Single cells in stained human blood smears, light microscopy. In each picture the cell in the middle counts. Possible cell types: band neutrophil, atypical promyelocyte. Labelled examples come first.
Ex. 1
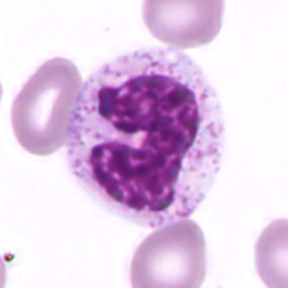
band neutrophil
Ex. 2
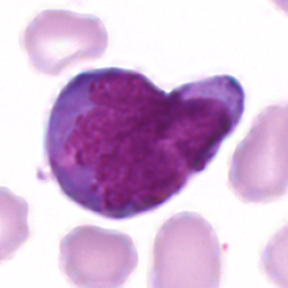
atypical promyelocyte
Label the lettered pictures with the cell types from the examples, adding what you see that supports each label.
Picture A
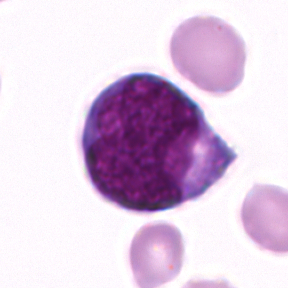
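atypical promyelocyte. Reason: The nucleus fills most of the cell and sits toward the left side.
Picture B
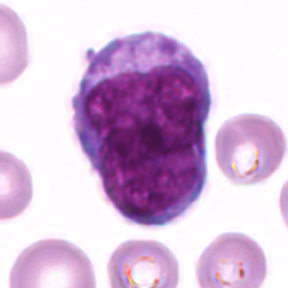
atypical promyelocyte. Reason: The cytoplasm is scant and widest above the nucleus.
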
